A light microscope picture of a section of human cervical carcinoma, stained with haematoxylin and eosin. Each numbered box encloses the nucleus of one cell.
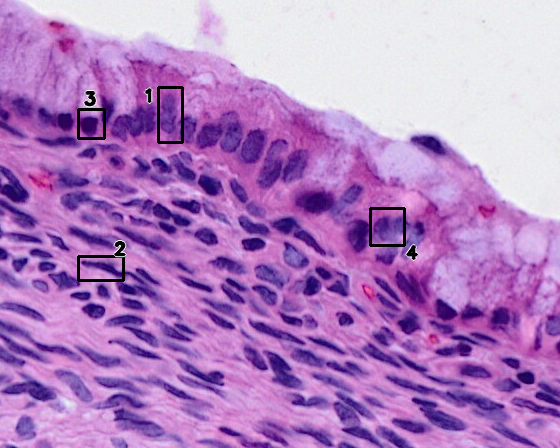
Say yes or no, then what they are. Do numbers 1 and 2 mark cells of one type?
No, a secretory epithelial cell is what cell 1 is, and a fibroblast is what cell 2 is.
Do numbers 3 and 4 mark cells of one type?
Yes, both of cells 3 and 4 are secretory epithelial cells.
